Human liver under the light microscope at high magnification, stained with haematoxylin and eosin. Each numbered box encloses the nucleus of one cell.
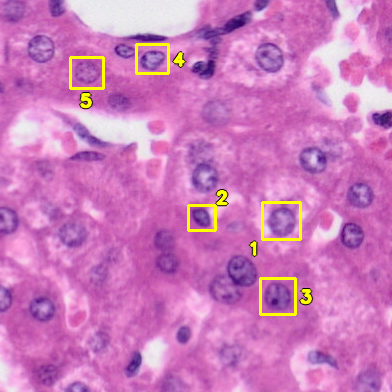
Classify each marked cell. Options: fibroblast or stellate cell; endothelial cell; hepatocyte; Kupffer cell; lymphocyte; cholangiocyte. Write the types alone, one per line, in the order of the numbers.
hepatocyte
fibroblast or stellate cell
hepatocyte
cholangiocyte
hepatocyte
